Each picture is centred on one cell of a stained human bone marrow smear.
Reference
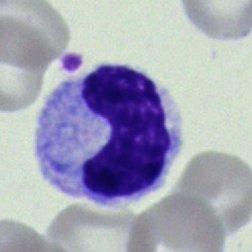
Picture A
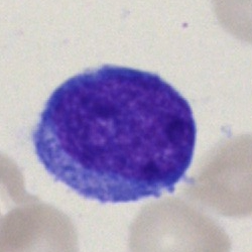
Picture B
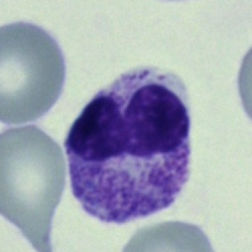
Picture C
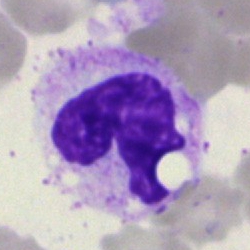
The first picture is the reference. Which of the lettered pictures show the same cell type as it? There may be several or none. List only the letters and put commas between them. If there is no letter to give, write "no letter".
B, C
